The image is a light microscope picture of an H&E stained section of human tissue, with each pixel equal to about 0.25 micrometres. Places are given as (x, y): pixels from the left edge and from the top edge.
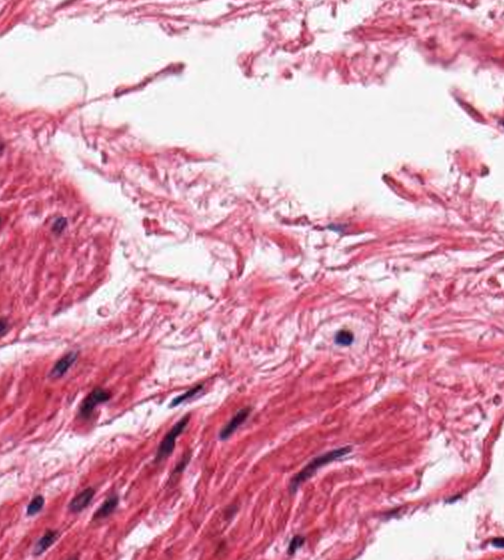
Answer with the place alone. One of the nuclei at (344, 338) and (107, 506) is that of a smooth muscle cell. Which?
(107, 506)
